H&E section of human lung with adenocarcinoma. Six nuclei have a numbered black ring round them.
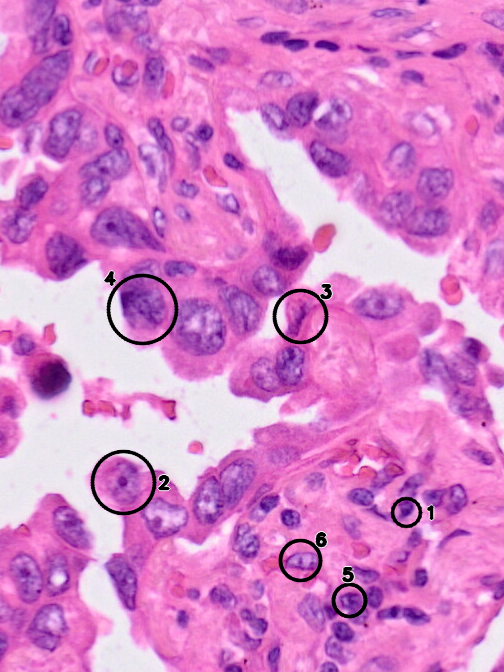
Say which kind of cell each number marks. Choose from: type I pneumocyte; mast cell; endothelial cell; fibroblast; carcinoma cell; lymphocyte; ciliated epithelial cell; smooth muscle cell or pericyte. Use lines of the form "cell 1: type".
cell 1: lymphocyte
cell 2: carcinoma cell
cell 3: carcinoma cell
cell 4: carcinoma cell
cell 5: lymphocyte
cell 6: endothelial cell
